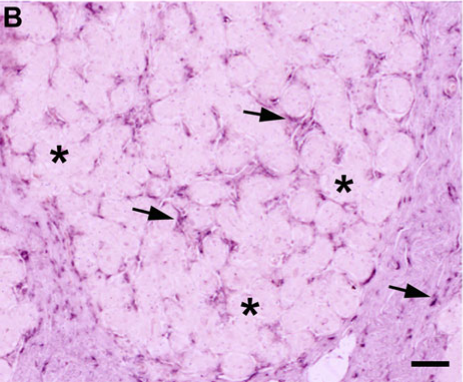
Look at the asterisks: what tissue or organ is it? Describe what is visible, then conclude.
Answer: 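Epithelium. The asterisks lie on pale rounded glandular units. These units stay pale while the cells between them are purple.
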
